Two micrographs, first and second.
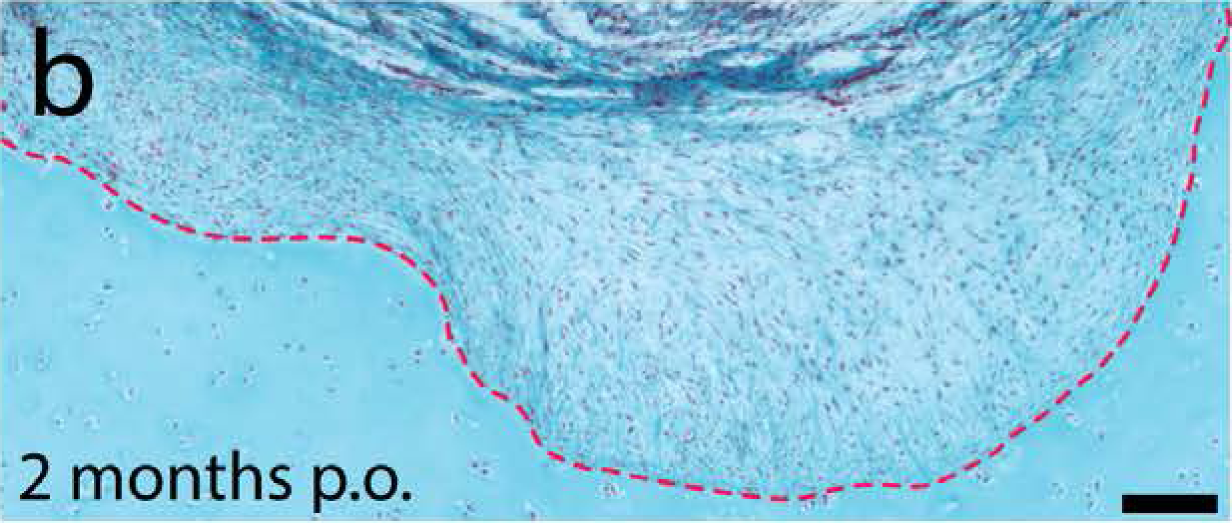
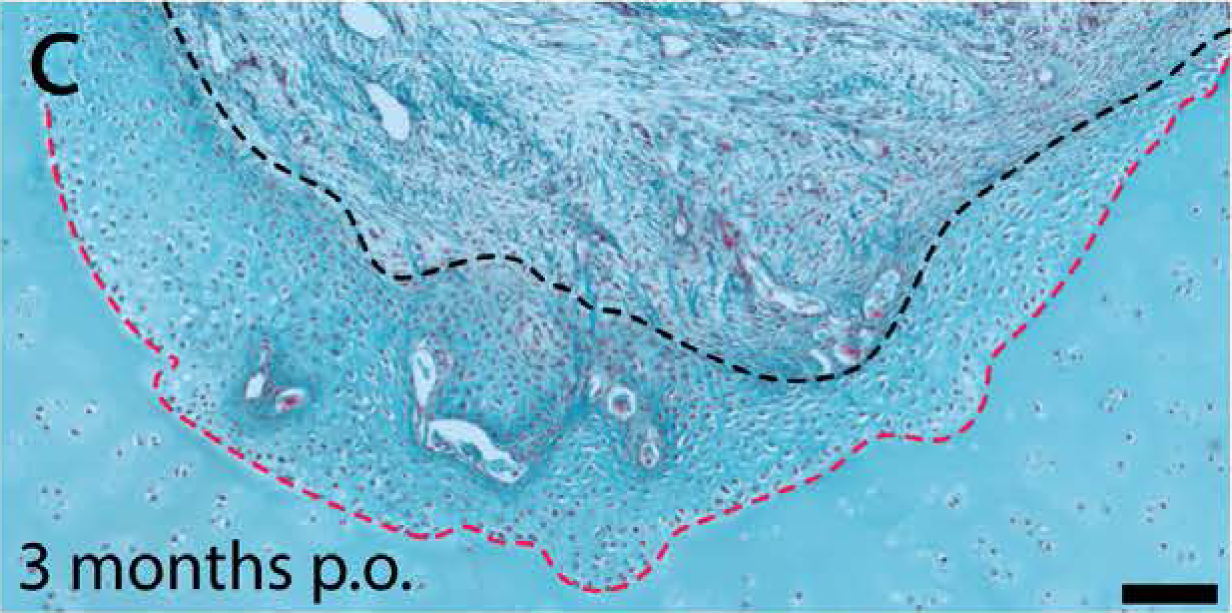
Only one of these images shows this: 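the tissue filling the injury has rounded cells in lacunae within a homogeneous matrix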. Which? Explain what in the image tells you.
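Second image: a band of tissue with small rounded cells in pale matrix lines the injury site. First image: the injury site is filled with wavy fibrous tissue with elongated nuclei. So: the second image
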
